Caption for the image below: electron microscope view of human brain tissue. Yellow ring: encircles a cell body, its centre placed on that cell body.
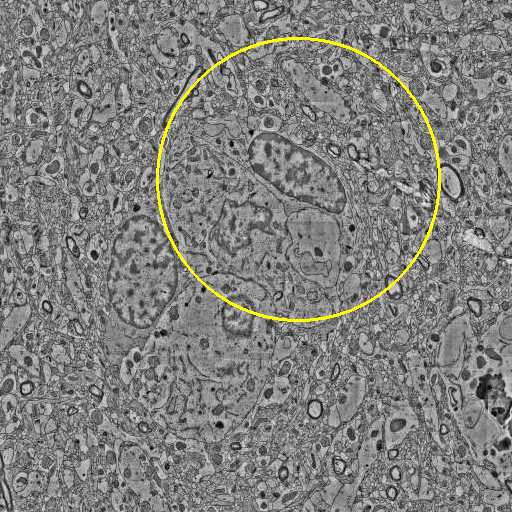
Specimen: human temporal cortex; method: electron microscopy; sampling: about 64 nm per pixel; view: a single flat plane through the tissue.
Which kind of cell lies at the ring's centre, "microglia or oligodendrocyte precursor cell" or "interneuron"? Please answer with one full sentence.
The picture shows a microglial cell or oligodendrocyte precursor cell at the centre of the yellow ring.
